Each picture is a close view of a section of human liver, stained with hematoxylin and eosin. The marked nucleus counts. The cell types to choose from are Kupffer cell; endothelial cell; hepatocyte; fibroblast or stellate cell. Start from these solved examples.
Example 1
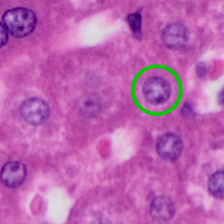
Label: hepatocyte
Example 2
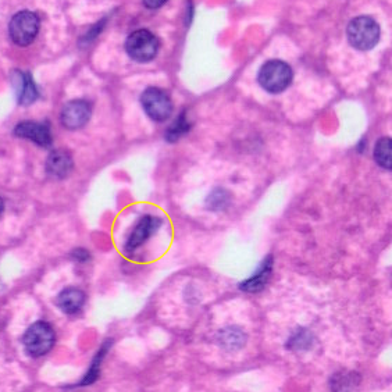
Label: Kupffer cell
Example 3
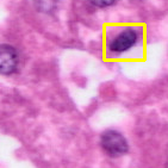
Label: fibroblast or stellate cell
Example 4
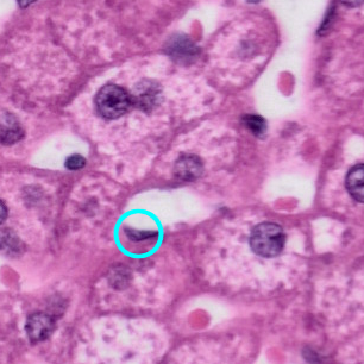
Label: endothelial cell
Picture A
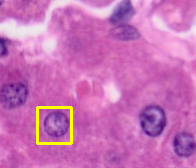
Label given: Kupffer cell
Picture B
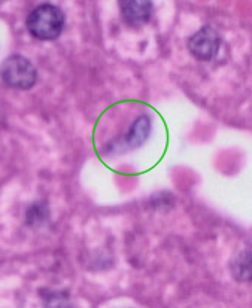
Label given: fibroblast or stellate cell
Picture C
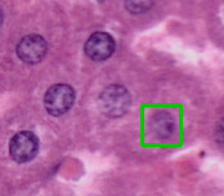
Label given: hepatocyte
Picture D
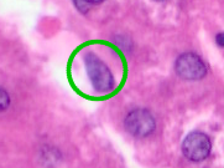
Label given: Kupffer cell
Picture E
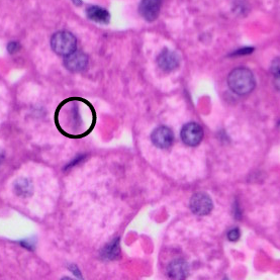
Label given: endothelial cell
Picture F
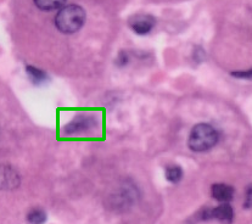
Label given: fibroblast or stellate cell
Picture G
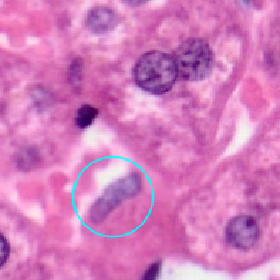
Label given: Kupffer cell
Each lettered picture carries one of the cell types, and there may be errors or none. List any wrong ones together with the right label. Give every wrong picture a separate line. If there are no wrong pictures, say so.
A: not Kupffer cell but hepatocyte
B: not fibroblast or stellate cell but Kupffer cell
